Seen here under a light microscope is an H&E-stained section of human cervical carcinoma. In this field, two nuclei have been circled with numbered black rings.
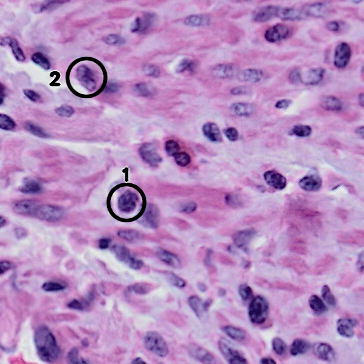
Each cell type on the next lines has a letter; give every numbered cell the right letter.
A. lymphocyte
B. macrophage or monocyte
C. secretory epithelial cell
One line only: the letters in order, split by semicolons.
A; B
